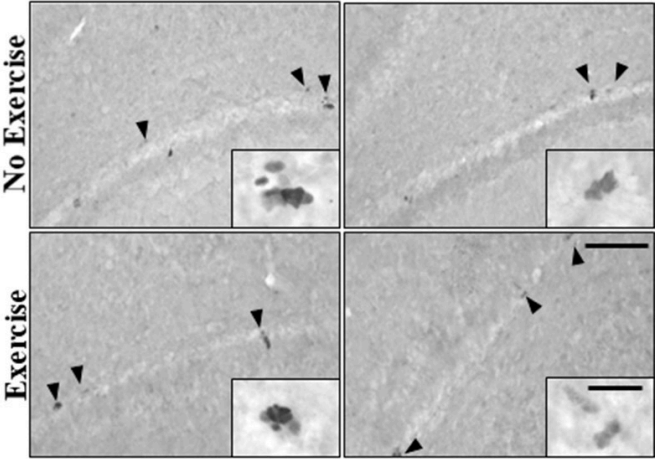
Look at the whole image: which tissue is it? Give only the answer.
hippocampal dentate gyrus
